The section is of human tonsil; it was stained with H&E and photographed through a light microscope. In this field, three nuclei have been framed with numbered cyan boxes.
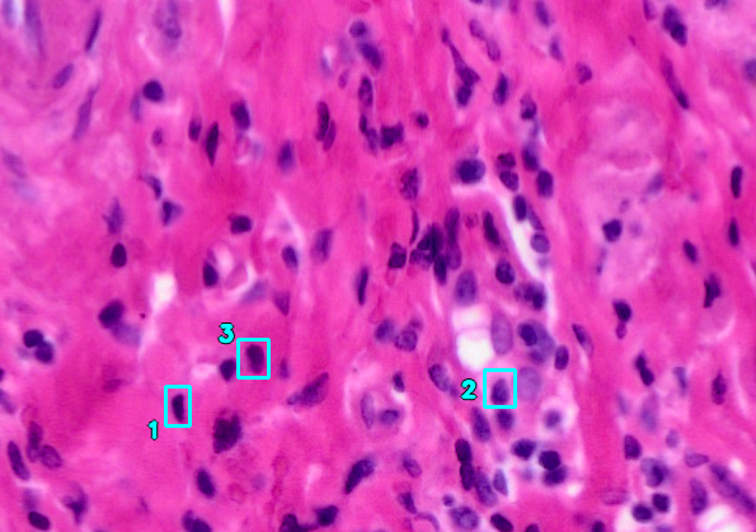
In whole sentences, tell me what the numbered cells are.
Cell 1 is a mast cell, cell 2 is an endothelial cell and cell 3 is a mast cell.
